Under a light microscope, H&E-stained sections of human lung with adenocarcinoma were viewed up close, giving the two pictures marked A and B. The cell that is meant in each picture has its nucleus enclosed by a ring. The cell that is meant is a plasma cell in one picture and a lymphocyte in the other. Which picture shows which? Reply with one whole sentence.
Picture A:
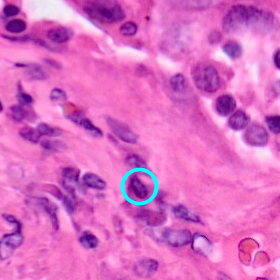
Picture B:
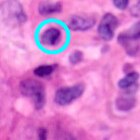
Picture A is of a plasma cell, and picture B is of a lymphocyte.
